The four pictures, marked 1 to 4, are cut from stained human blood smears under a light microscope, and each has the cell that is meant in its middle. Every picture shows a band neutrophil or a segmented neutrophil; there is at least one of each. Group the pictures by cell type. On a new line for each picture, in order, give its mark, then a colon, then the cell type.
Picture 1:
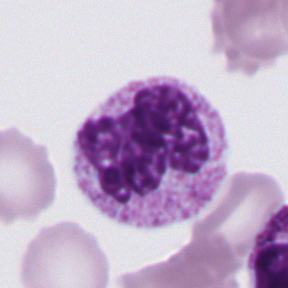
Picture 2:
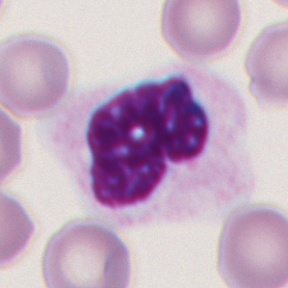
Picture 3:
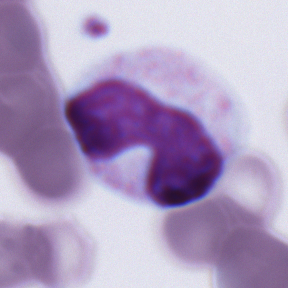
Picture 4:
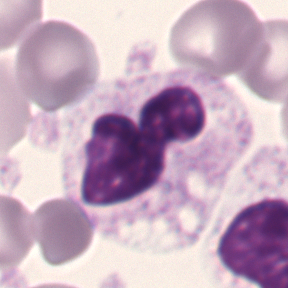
1: segmented neutrophil
2: segmented neutrophil
3: band neutrophil
4: segmented neutrophil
